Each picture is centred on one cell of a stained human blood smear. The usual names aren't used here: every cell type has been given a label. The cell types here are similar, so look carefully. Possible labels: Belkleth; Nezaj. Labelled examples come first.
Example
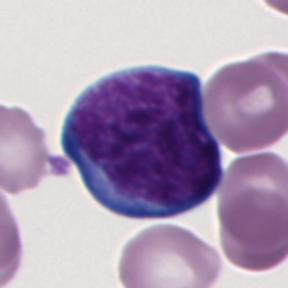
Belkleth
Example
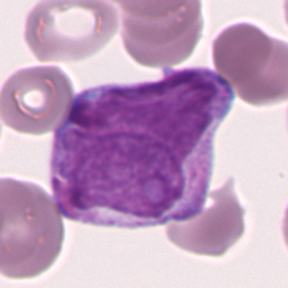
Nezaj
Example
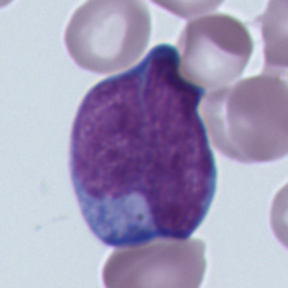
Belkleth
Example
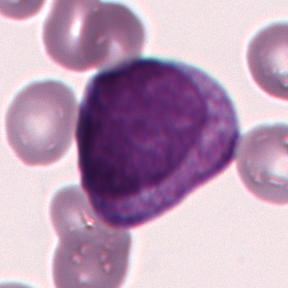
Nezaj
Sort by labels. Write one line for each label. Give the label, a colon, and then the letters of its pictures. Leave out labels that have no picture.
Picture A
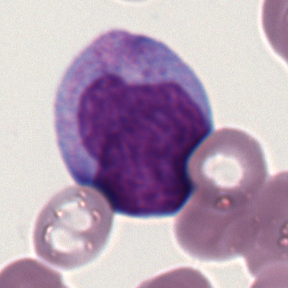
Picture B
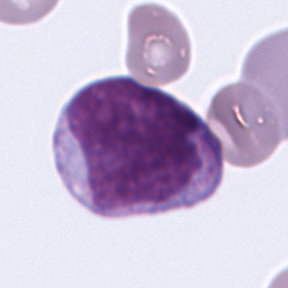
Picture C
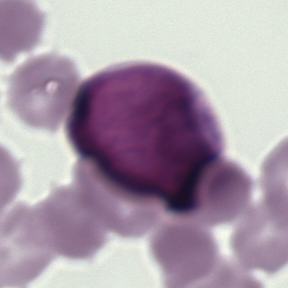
Belkleth: C
Nezaj: A, B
